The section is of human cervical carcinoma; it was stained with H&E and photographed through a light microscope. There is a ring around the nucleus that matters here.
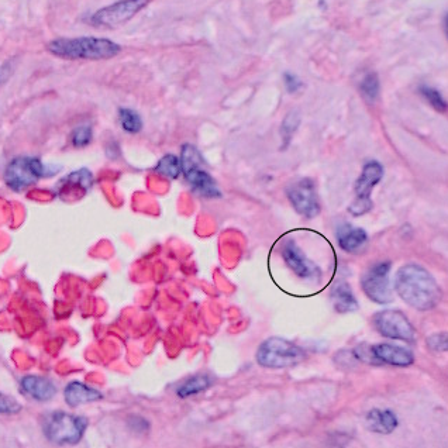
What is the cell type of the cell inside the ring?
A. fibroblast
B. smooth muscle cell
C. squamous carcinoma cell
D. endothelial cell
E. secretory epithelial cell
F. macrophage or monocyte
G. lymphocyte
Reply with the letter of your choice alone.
D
